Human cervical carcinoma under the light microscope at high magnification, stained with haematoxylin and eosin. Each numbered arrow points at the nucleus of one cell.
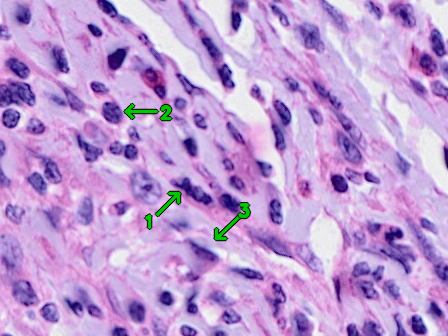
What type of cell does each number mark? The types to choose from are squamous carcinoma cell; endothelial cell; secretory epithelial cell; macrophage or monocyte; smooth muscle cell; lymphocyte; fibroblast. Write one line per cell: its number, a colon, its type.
1: lymphocyte
2: lymphocyte
3: macrophage or monocyte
